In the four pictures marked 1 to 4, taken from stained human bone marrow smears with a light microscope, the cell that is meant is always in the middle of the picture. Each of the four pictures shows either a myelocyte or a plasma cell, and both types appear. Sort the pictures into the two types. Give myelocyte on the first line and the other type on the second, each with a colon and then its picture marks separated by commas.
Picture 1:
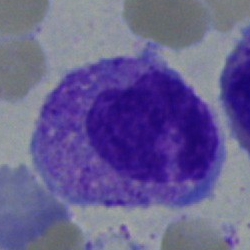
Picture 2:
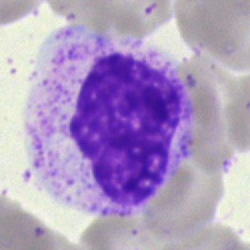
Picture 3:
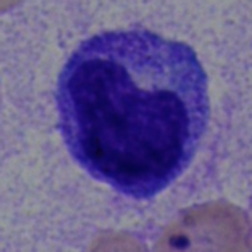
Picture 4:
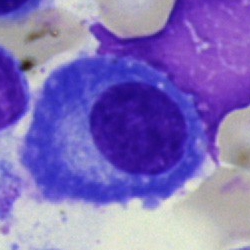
myelocyte: 1, 2, 3
plasma cell: 4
